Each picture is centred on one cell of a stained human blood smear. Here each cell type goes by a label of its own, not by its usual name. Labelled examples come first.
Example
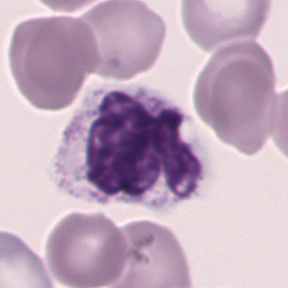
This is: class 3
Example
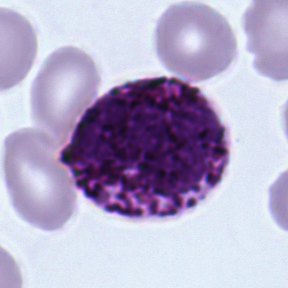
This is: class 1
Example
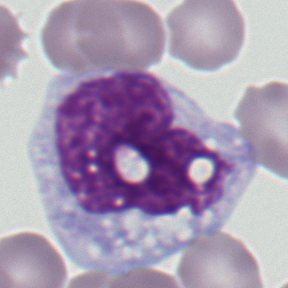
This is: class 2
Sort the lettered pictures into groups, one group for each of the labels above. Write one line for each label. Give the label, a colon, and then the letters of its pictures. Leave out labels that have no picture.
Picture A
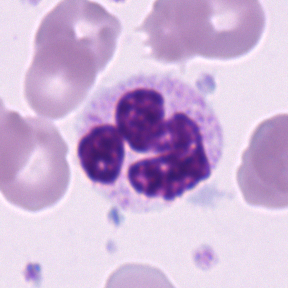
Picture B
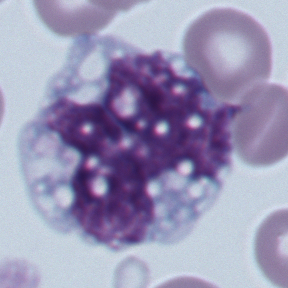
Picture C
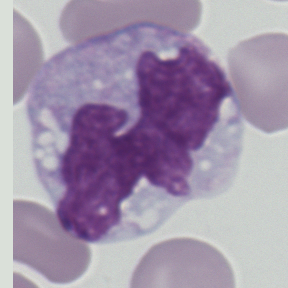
class 3: A
class 2: B, C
